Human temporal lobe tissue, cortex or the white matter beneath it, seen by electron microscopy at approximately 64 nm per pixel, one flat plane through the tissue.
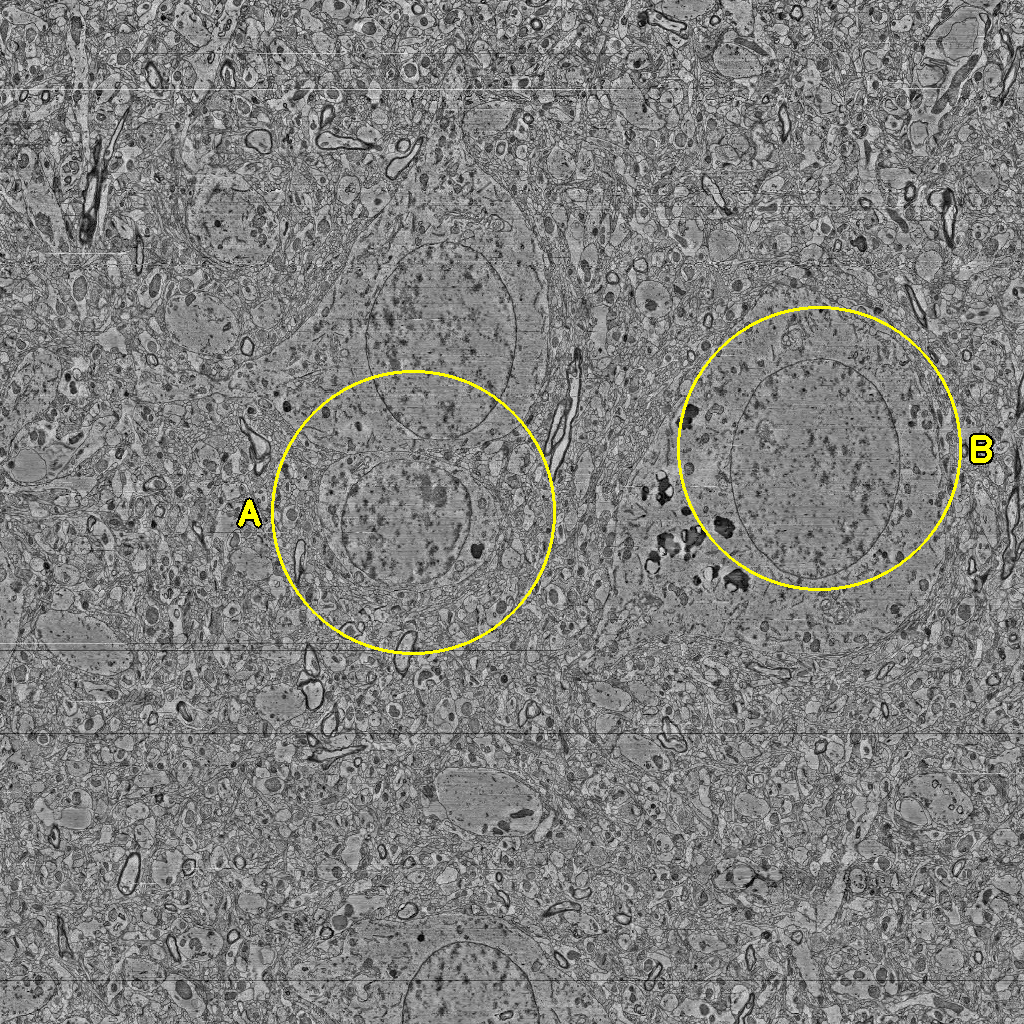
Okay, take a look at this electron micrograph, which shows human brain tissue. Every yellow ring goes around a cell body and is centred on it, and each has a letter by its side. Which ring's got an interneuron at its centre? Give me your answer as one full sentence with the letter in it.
The one you're after is ring A, centred on the cell you asked about.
